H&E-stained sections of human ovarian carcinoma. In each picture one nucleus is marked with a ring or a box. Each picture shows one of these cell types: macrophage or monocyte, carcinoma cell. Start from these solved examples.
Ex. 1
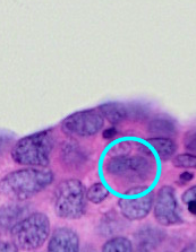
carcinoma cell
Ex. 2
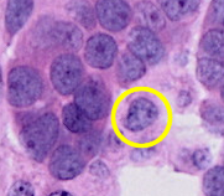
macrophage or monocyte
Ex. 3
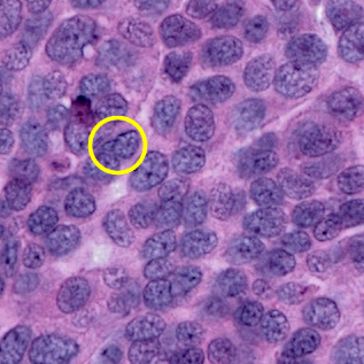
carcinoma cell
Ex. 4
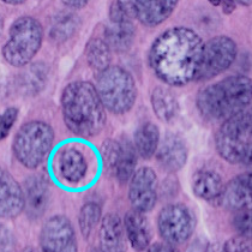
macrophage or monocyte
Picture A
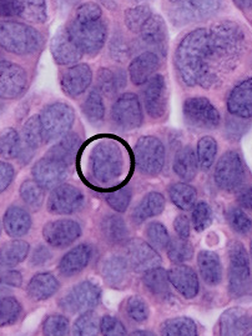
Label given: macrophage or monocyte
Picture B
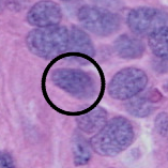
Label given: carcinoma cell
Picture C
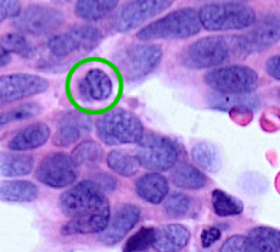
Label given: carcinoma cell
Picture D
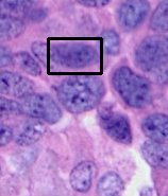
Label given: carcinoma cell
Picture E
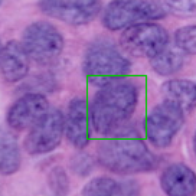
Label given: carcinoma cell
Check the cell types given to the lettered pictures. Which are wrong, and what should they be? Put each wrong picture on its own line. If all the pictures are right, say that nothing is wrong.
Wrong: A (macrophage or monocyte); correct: carcinoma cell
Wrong: C (carcinoma cell); correct: macrophage or monocyte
